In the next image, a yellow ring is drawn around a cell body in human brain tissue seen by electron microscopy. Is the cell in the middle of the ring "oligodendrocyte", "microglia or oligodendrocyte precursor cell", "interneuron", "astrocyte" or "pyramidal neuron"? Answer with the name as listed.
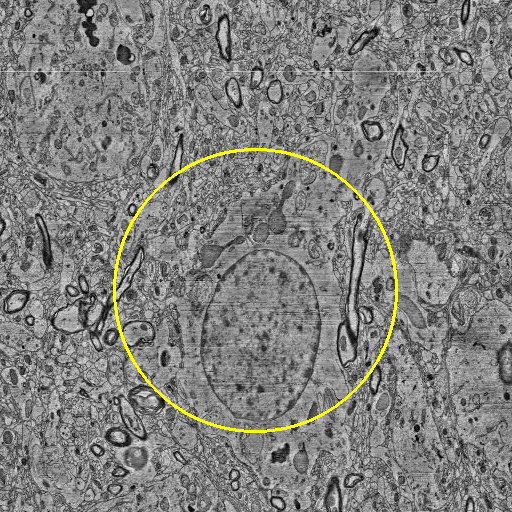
astrocyte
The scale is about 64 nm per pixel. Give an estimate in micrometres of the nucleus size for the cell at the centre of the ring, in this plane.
In this plane the nucleus is roughly 11 by 7 micrometres, clearly longer than it is wide.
